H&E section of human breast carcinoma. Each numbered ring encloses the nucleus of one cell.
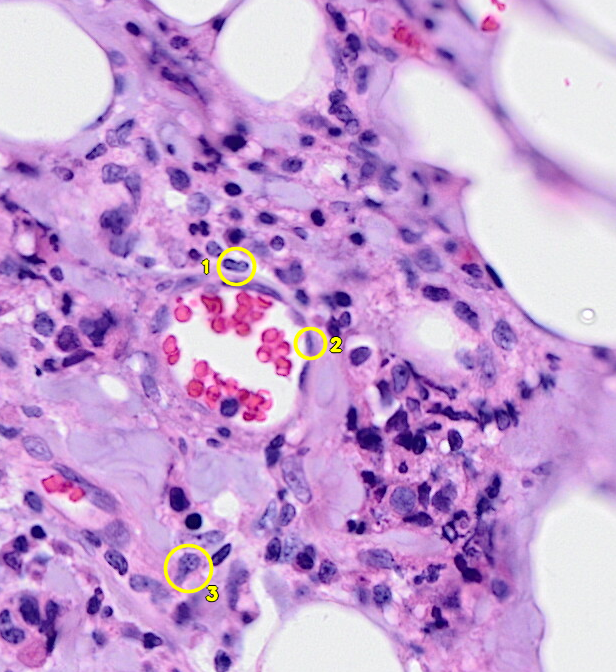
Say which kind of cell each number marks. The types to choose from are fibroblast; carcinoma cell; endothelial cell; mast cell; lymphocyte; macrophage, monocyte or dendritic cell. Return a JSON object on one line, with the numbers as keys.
{"1": "lymphocyte", "2": "endothelial cell", "3": "mast cell"}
